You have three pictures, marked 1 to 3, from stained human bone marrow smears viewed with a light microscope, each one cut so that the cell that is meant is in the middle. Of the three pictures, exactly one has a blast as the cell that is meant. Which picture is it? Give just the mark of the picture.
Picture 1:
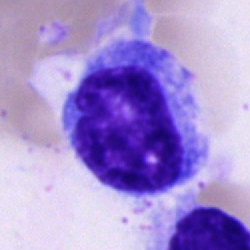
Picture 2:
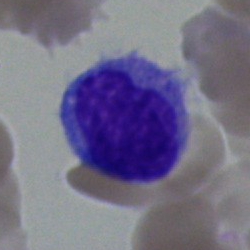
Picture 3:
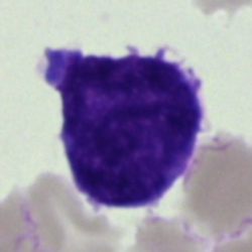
3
